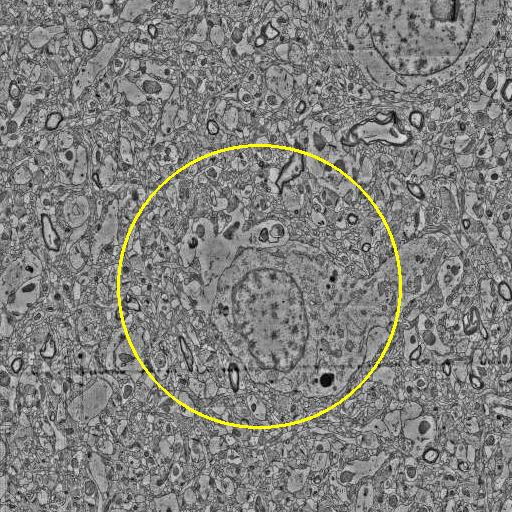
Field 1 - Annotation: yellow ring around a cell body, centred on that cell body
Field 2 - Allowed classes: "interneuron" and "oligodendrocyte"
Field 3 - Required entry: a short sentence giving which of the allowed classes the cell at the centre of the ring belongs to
The centred cell is an interneuron.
